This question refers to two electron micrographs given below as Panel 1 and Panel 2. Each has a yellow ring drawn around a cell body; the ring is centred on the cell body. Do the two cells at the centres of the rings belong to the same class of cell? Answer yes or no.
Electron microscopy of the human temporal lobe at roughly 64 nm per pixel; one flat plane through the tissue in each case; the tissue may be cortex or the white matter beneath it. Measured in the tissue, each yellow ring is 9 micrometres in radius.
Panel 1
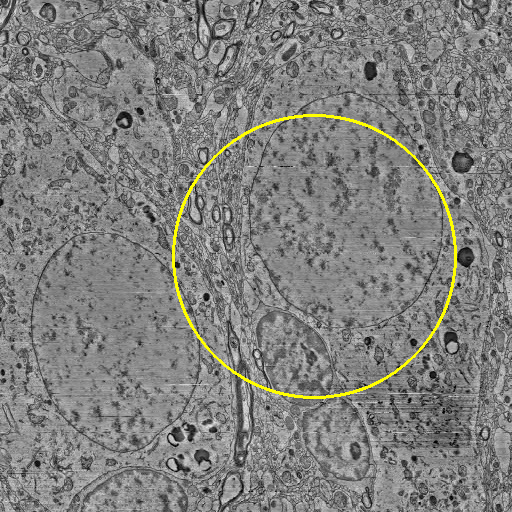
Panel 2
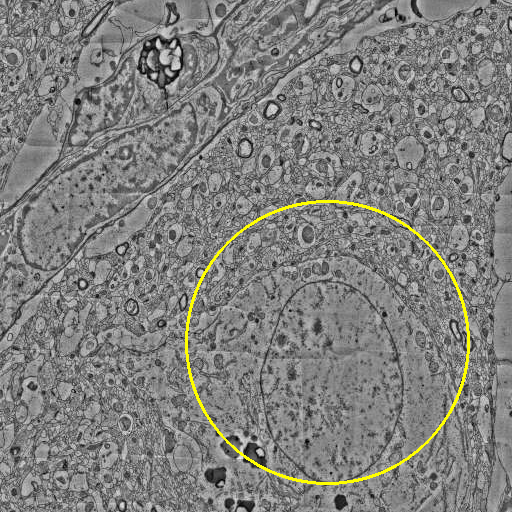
yes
